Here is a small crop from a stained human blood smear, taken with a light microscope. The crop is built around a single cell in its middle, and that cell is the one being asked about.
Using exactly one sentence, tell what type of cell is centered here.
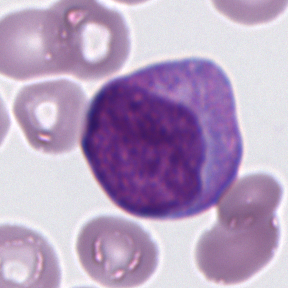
Here the centrally located cell is an atypical promyelocyte.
